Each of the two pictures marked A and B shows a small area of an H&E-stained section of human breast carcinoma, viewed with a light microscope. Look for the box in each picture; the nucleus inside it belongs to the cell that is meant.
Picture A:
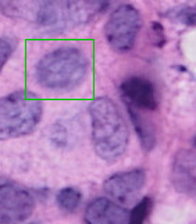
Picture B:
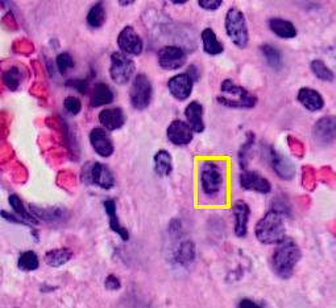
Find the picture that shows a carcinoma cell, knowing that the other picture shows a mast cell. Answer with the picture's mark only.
A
